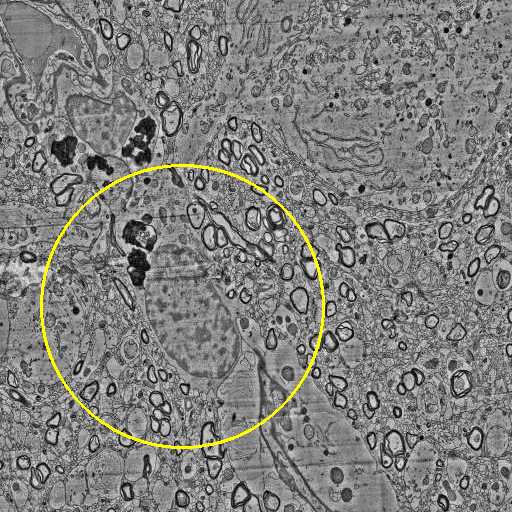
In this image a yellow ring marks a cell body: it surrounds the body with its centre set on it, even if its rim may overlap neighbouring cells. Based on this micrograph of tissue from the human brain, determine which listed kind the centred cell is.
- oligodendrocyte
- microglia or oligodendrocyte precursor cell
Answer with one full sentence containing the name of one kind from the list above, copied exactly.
It is an oligodendrocyte whose body the yellow ring encloses at its centre.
